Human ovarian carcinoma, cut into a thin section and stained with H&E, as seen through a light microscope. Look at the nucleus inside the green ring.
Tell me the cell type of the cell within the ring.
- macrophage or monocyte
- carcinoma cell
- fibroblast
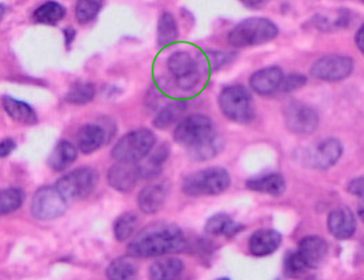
carcinoma cell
